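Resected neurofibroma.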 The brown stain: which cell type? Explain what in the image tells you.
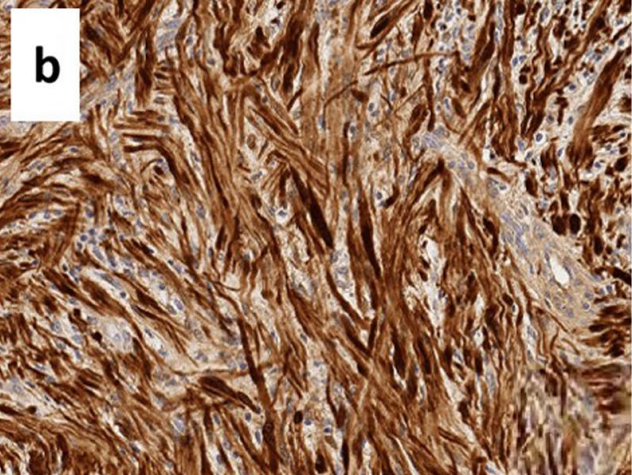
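Brown stain fills long, slender cell bodies. Stained cells lie in streaming, interlacing fascicles. The answer: spindle cells.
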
